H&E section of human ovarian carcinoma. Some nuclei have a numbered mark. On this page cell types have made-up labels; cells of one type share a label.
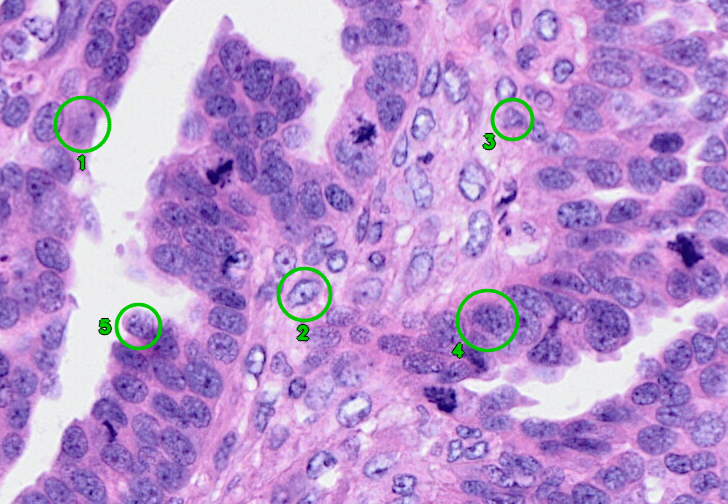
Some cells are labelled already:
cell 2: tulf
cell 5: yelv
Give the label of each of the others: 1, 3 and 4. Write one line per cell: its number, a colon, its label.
1: yelv
3: tulf
4: yelv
